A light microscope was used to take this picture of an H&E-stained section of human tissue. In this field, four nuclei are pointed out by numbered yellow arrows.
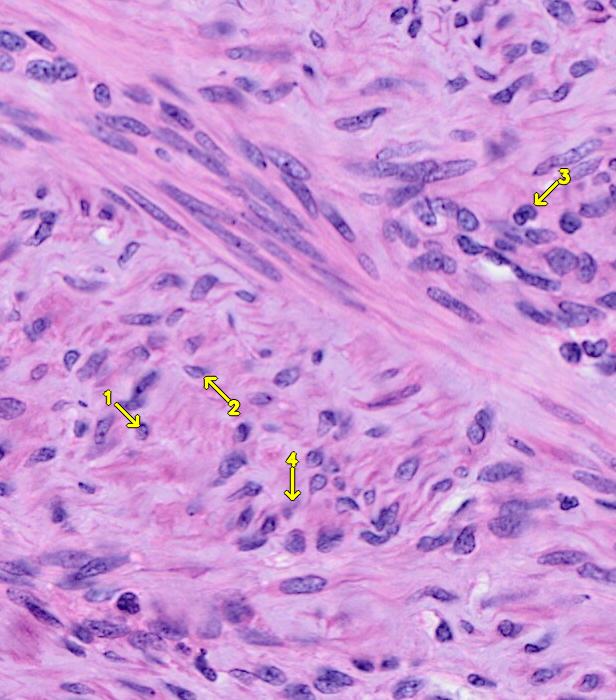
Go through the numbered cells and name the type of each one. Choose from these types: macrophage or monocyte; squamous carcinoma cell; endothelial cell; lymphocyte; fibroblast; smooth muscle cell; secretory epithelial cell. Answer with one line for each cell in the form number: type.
1: smooth muscle cell
2: smooth muscle cell
3: lymphocyte
4: smooth muscle cell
